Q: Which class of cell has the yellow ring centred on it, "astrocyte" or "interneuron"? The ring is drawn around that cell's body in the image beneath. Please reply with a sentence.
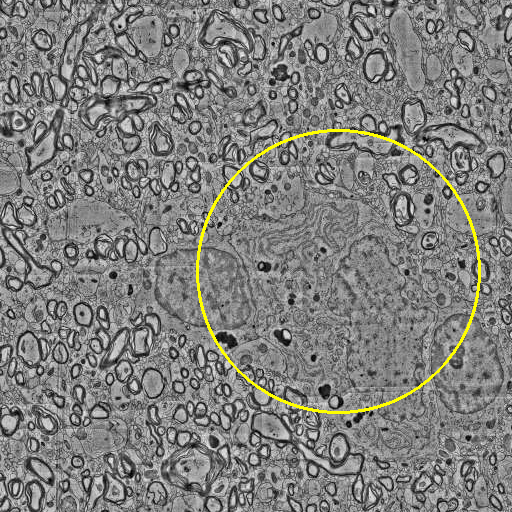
It is centred on an interneuron.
